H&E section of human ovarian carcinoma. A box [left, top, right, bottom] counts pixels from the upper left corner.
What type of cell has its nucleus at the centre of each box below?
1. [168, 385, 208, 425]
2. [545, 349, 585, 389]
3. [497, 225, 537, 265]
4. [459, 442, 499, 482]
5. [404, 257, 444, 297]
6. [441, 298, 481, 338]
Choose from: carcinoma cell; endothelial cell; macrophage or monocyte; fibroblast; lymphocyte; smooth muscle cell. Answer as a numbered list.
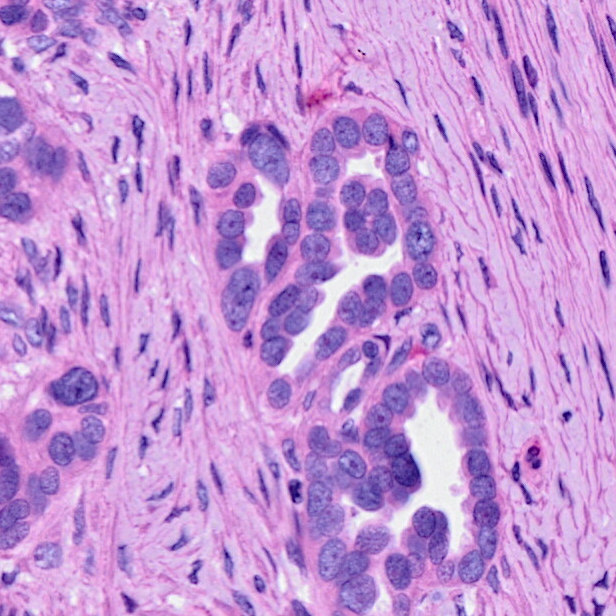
1. fibroblast
2. fibroblast
3. fibroblast
4. carcinoma cell
5. carcinoma cell
6. fibroblast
